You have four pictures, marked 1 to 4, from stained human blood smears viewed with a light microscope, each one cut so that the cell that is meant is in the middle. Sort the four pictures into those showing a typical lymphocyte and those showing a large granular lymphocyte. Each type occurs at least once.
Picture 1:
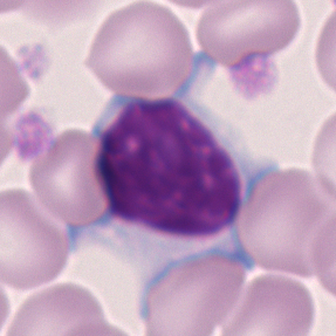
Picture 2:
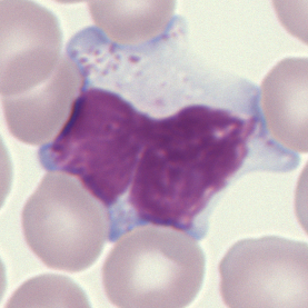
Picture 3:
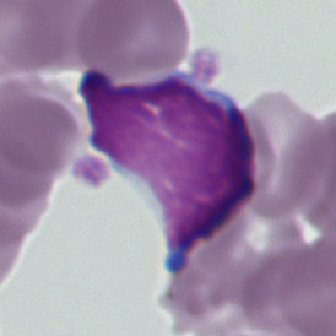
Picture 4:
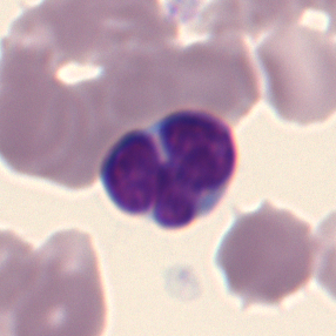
1: typical lymphocyte
2: large granular lymphocyte
3: typical lymphocyte
4: typical lymphocyte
